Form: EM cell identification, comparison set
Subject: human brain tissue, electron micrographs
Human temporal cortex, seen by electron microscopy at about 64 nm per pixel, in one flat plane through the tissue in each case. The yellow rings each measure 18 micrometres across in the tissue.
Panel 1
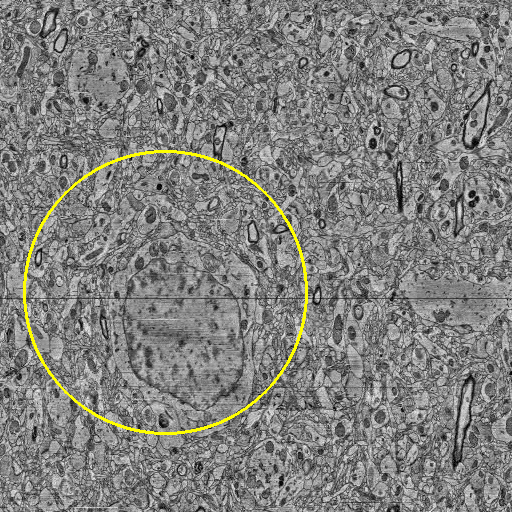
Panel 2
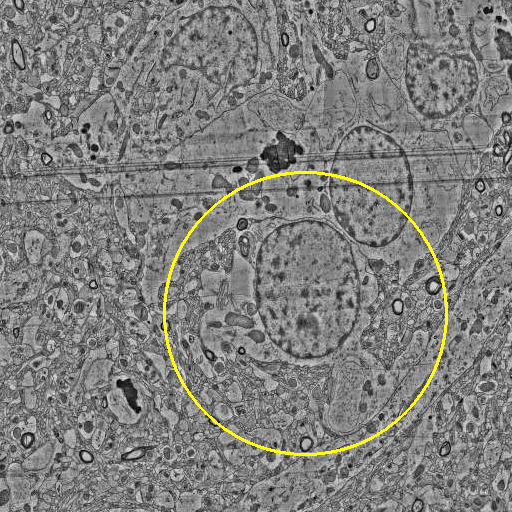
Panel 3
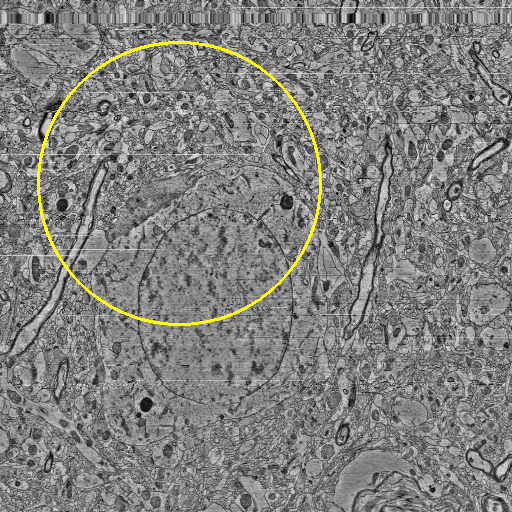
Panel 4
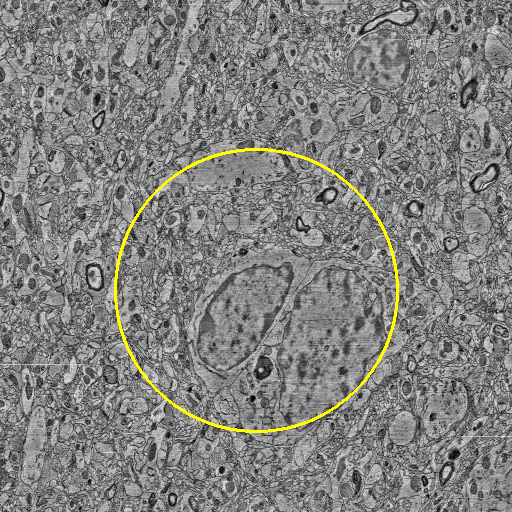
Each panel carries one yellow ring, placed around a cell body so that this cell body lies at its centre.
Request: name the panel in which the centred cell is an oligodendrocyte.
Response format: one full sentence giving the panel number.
Panel 3 has it at the centre of its ring.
